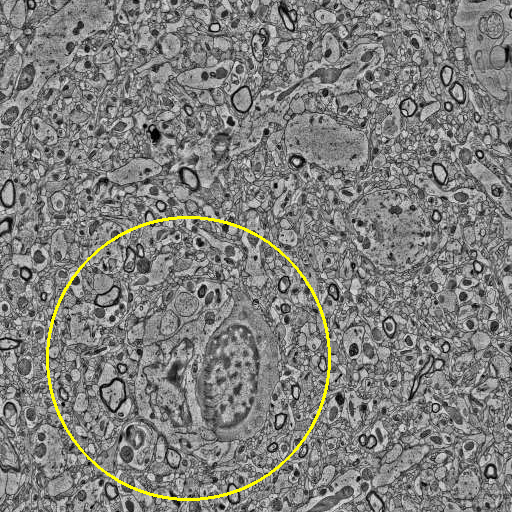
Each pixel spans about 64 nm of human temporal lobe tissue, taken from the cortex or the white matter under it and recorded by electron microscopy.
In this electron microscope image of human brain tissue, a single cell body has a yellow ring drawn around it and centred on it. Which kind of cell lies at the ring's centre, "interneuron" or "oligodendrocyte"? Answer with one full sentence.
It is an interneuron whose cell body lies at the centre of the yellow ring here.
